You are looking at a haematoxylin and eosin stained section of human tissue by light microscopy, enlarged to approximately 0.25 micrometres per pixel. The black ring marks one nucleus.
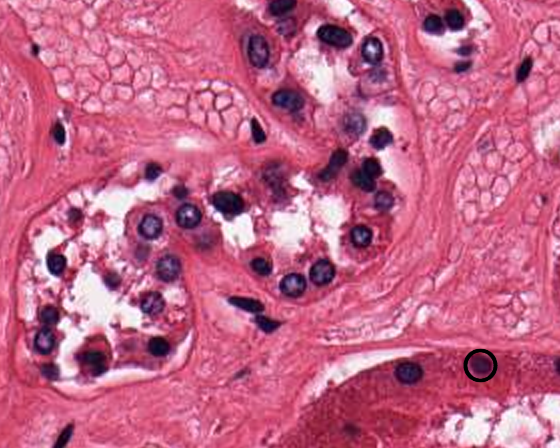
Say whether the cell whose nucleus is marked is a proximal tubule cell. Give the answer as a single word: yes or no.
yes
